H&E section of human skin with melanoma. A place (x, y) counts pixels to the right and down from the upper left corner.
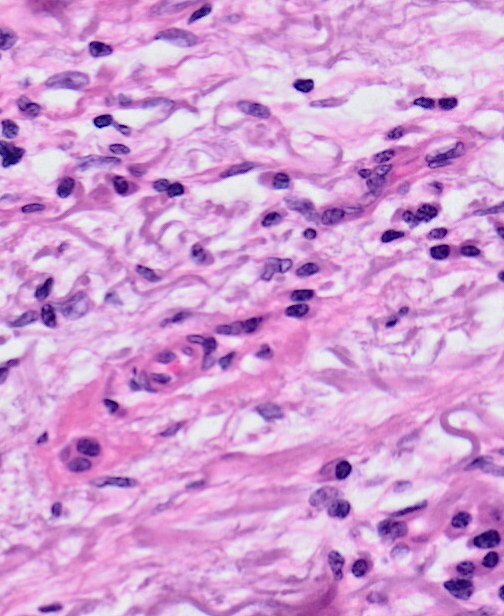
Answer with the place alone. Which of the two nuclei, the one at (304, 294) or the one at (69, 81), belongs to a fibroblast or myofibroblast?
(69, 81)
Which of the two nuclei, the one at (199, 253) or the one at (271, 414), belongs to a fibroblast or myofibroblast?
(271, 414)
